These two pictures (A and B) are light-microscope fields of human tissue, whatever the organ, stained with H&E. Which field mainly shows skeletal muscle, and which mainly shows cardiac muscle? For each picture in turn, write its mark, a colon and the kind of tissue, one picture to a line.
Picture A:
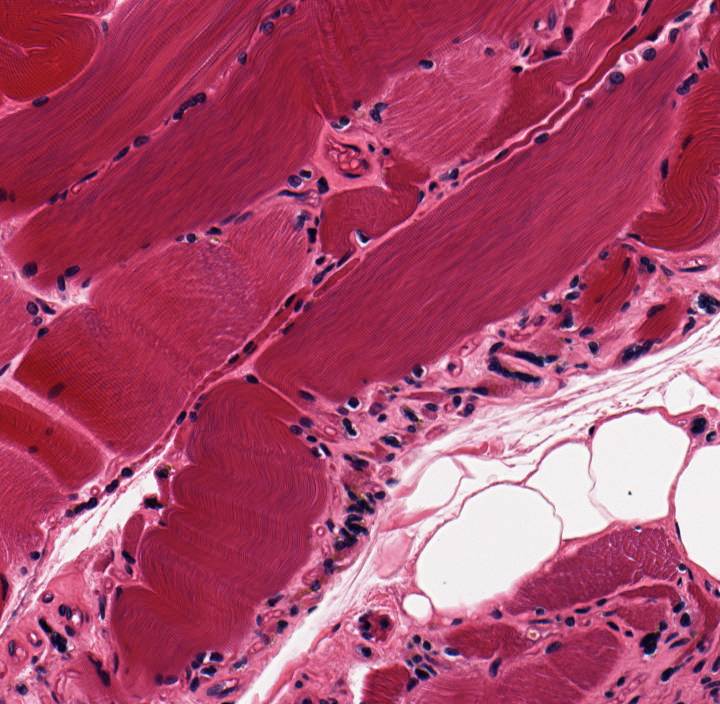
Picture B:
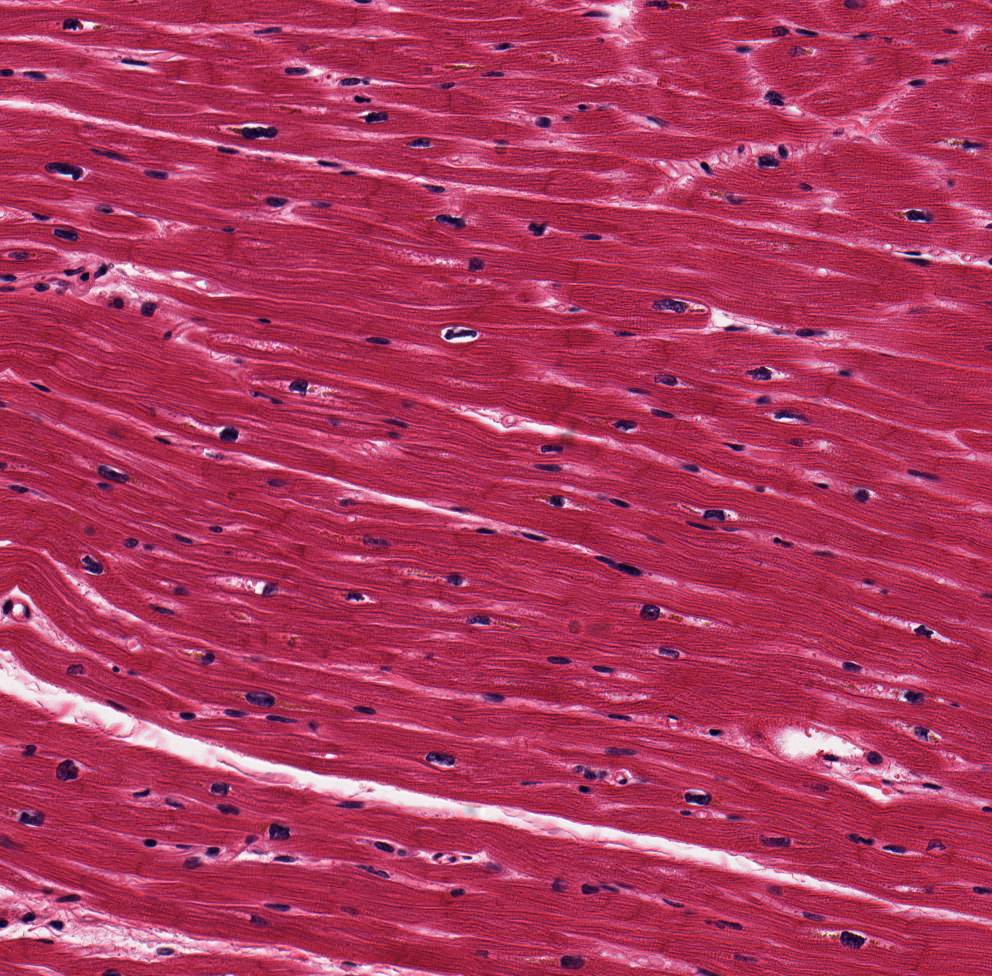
A: skeletal muscle
B: cardiac muscle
